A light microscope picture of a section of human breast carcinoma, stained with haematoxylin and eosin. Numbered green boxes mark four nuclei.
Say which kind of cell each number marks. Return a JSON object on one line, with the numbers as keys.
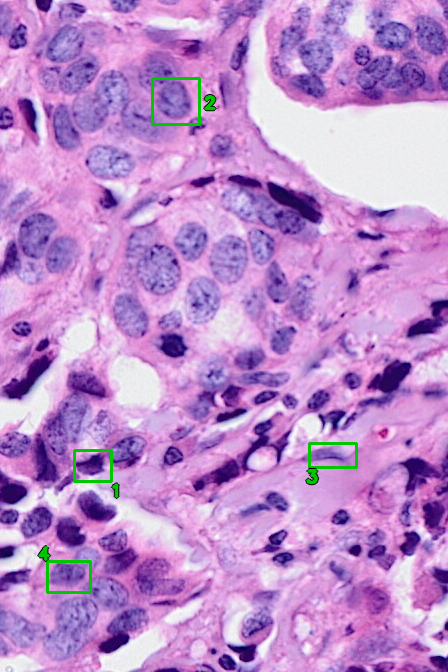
{"1": "carcinoma cell", "2": "carcinoma cell", "3": "fibroblast", "4": "carcinoma cell"}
